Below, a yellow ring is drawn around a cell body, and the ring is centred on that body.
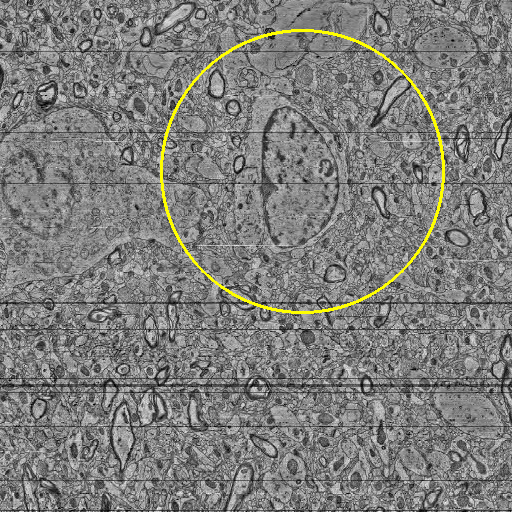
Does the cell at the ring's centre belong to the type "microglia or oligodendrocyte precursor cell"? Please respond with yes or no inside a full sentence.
Yes, the centred cell inside the ring shown in the picture is of this type.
